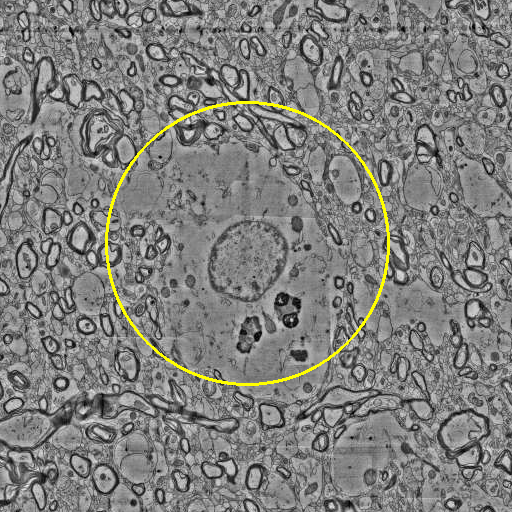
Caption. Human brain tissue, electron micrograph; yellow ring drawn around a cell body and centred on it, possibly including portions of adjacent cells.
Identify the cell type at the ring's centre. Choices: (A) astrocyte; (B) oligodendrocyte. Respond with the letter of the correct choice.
A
